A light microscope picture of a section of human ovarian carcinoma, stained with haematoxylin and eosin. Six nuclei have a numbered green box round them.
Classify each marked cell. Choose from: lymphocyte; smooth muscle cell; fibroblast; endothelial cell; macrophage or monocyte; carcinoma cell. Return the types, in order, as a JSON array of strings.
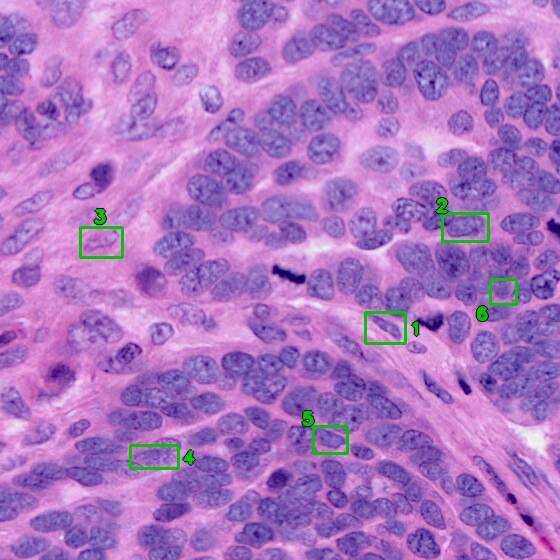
["fibroblast", "carcinoma cell", "fibroblast", "carcinoma cell", "carcinoma cell", "carcinoma cell"]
